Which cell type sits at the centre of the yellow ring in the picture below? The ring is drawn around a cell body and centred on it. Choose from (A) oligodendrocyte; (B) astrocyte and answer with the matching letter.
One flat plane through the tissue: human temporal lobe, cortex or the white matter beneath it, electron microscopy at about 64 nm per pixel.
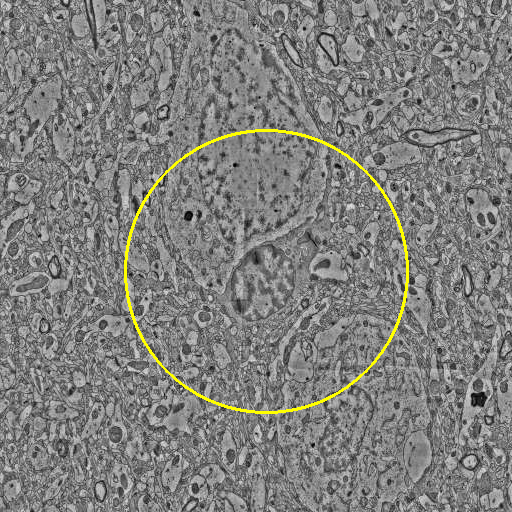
A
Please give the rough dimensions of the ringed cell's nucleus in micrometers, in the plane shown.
The nucleus is approximately 5 micrometers long by 4 micrometers wide in this plane.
